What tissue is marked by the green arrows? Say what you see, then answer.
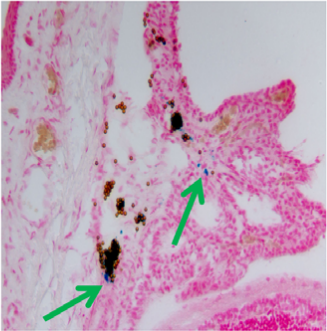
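Ciliary body. The arrows point into a tissue folded into several finger-like processes. The processes are lined by a layer of pink-stained epithelial cells around a loose core. Dark deposits with small blue specks lie among the processes at the arrow tips.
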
